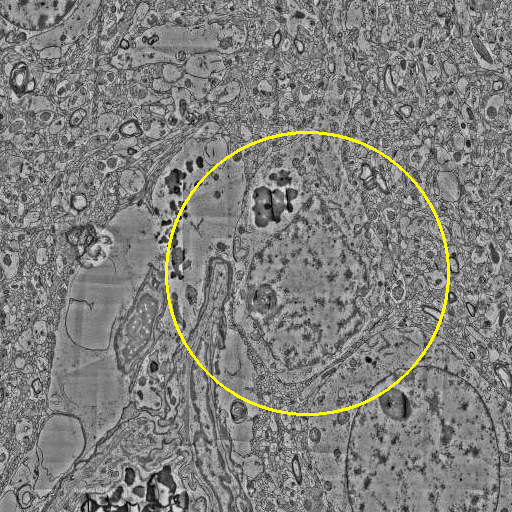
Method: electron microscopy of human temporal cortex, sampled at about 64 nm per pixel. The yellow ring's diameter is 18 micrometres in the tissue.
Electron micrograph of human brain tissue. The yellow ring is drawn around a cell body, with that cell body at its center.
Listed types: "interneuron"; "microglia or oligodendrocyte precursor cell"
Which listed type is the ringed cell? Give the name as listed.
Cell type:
interneuron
